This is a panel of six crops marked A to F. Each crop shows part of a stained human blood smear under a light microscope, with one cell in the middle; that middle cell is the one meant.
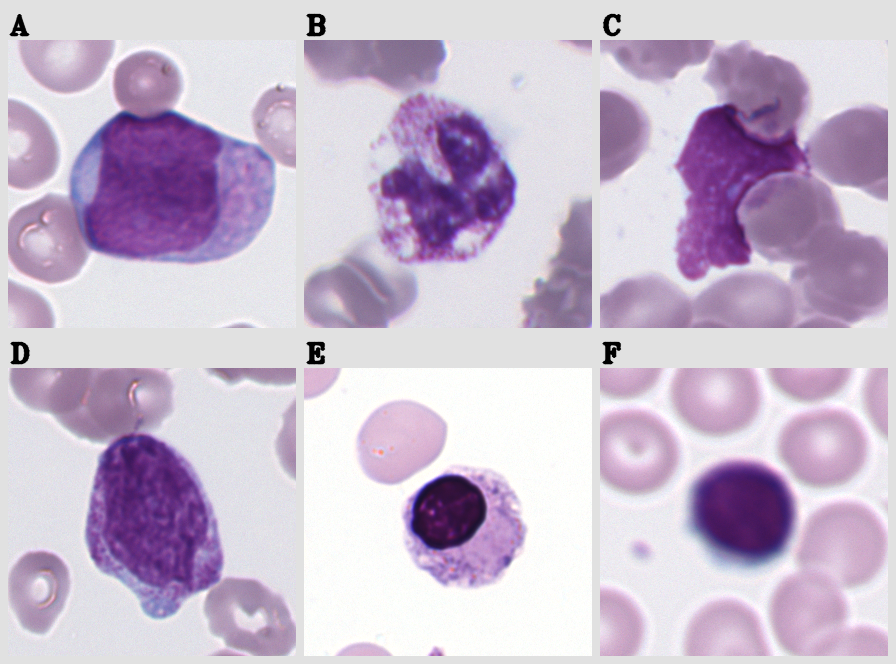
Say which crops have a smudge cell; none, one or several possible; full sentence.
There is a smudge cell in crop C and in none of the other crops.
